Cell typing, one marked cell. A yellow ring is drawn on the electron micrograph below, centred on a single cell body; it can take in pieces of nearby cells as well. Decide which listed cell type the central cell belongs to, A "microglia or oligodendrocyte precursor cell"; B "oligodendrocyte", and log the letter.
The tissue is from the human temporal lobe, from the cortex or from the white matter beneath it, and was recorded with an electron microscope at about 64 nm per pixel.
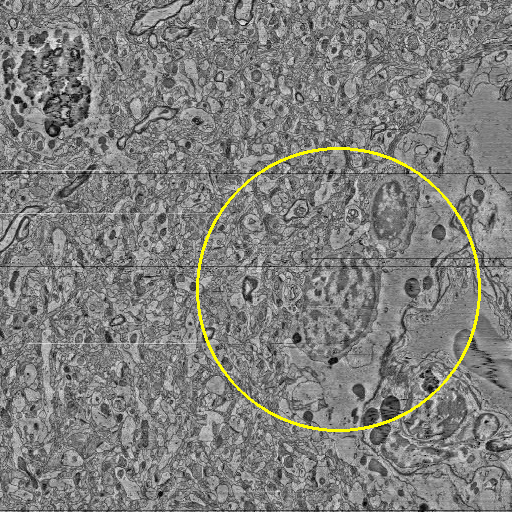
B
